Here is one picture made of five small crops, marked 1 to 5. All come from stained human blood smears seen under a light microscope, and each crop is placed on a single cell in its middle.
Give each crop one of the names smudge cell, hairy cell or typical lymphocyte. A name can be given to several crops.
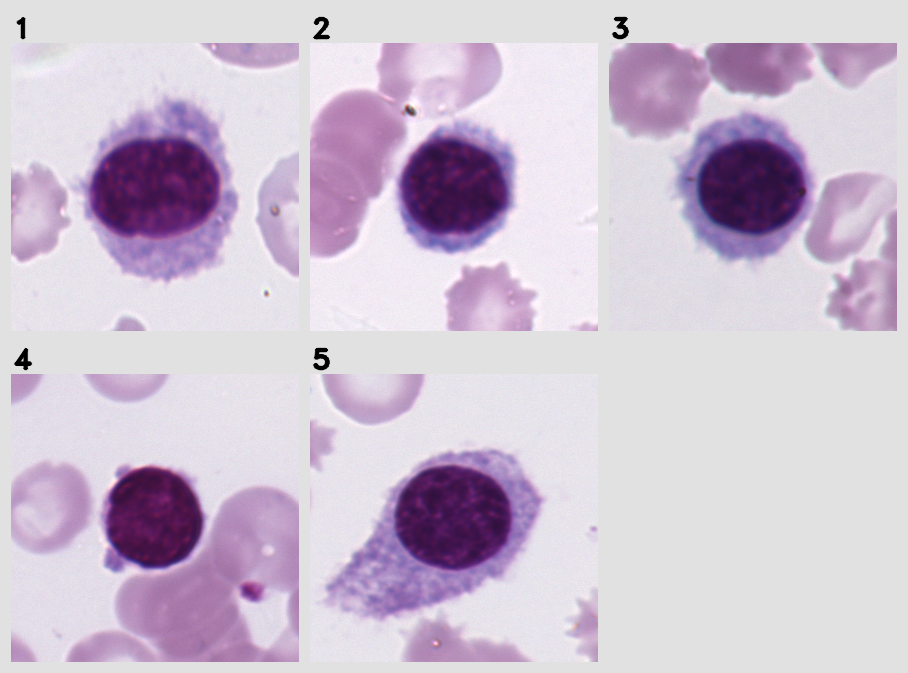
1: hairy cell
2: hairy cell
3: hairy cell
4: typical lymphocyte
5: hairy cell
